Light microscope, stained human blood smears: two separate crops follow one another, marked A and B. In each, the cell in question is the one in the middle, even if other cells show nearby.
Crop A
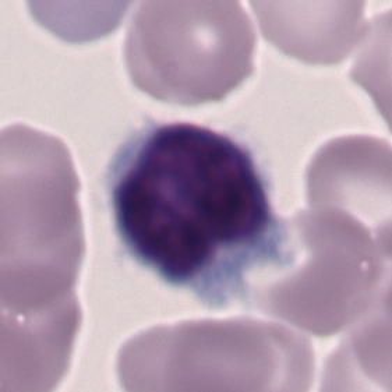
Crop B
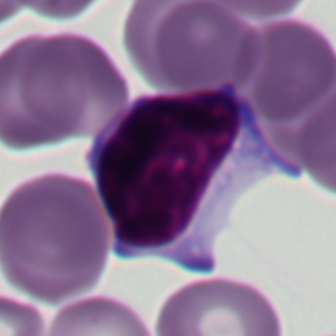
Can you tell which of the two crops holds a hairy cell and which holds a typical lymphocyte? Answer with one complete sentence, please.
Among the crops, crop A is a hairy cell and crop B is a typical lymphocyte.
